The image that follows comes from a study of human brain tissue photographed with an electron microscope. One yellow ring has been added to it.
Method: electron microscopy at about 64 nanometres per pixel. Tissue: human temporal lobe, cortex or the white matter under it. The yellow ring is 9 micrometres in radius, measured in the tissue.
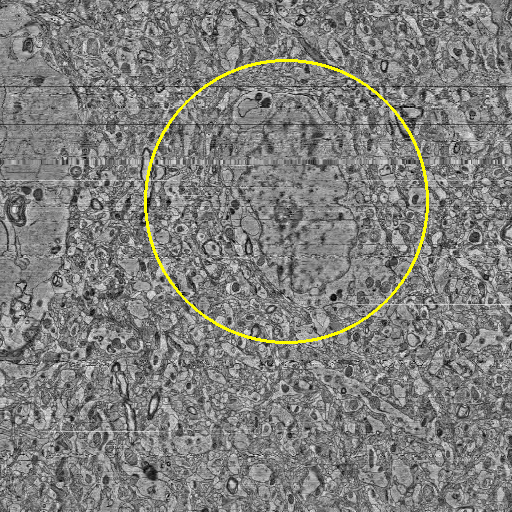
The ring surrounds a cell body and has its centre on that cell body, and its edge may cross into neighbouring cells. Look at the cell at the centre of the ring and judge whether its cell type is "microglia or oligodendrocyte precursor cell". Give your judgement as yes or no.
no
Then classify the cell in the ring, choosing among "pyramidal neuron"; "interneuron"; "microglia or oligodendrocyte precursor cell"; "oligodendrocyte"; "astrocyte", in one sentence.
The ring holds an interneuron at its centre.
